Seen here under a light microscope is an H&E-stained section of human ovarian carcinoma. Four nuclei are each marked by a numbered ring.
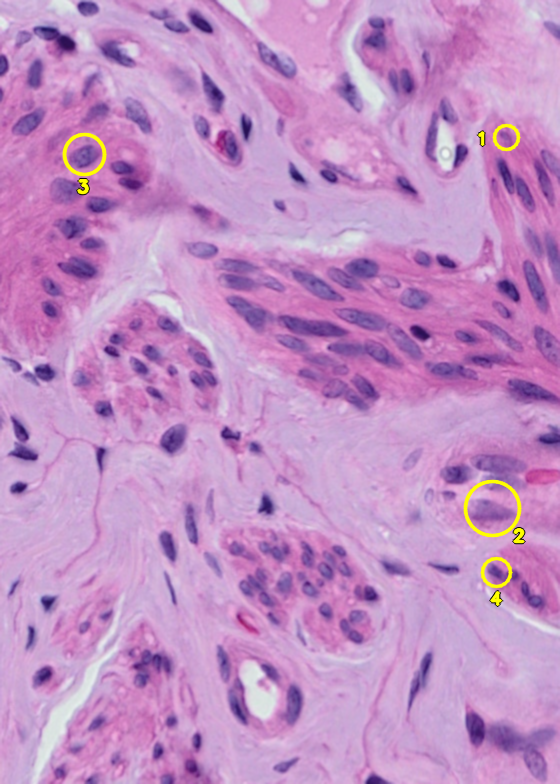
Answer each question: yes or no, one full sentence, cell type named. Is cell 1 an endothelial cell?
No, the cell under number 1 is a smooth muscle cell instead of an endothelial cell.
